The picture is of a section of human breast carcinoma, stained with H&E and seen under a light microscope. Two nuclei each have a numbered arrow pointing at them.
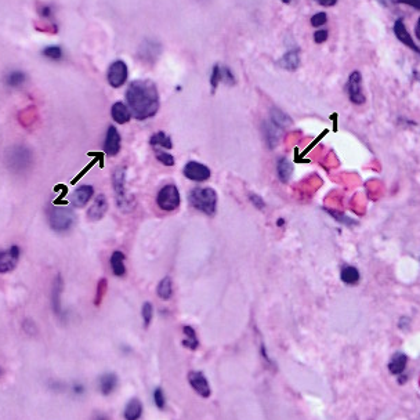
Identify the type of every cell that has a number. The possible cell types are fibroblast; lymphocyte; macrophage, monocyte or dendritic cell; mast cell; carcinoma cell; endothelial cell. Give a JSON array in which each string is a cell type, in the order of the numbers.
["endothelial cell", "lymphocyte"]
